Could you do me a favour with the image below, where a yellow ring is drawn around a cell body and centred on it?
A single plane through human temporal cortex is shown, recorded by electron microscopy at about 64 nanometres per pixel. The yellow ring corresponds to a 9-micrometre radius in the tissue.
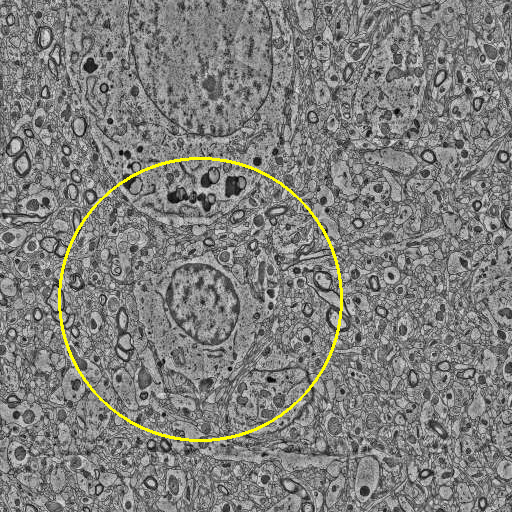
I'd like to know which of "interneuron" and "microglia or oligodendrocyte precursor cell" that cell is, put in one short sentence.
The cell at the ring's centre is a microglial cell or oligodendrocyte precursor cell.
